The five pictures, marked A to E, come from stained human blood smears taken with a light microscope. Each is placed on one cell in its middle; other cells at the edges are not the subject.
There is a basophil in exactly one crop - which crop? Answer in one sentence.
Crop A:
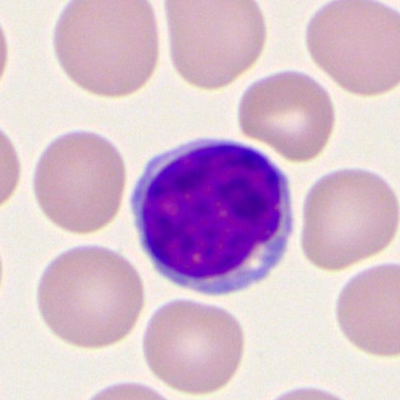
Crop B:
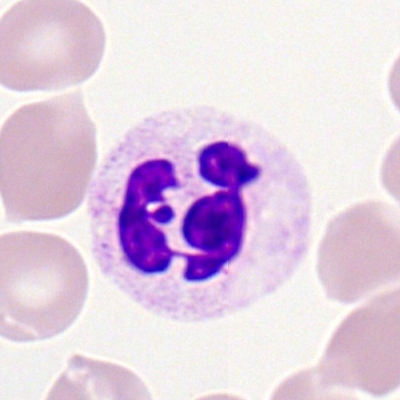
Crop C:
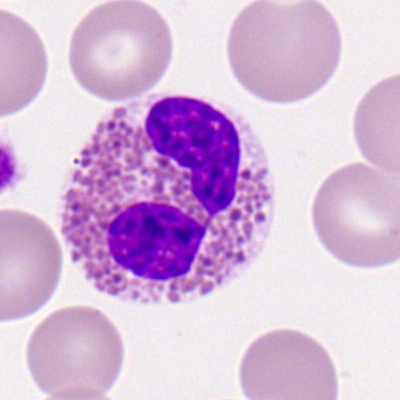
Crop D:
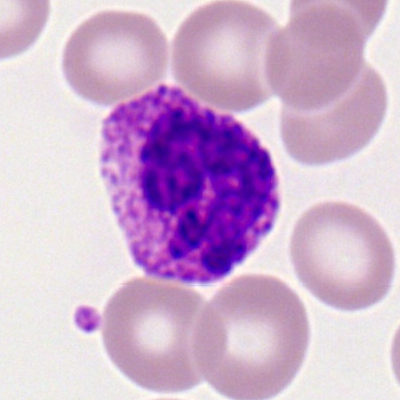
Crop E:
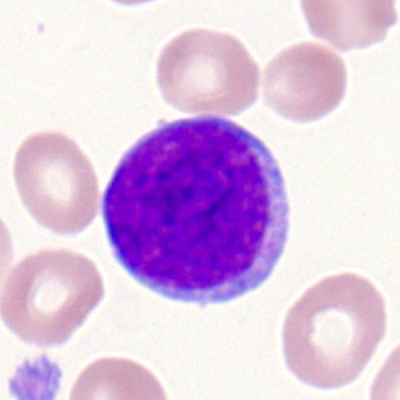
The correct choice is crop D, the one showing a basophil.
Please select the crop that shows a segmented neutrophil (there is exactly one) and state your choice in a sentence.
Crop B is the correct crop, and it shows a segmented neutrophil.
